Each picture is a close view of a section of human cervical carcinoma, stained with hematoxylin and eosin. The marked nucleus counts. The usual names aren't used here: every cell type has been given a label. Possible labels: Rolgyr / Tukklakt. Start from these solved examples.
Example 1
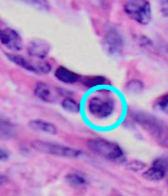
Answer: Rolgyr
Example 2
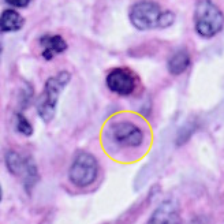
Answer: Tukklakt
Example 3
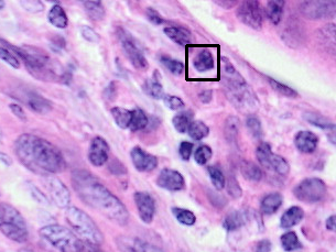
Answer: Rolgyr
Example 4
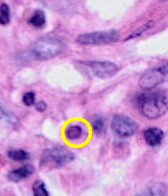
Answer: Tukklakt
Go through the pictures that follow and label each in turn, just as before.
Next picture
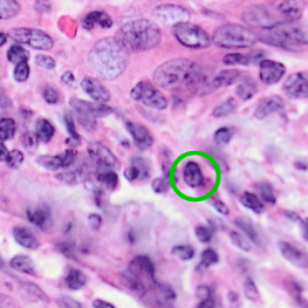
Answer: Rolgyr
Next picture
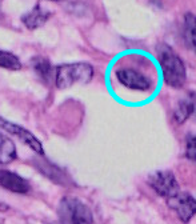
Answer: Rolgyr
